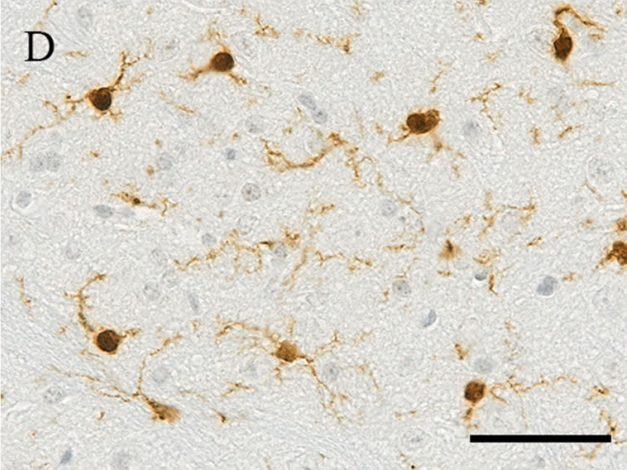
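The processes are fine and long, tapering into delicate fibres that spread into the surrounding tissue. The cells are spaced apart from one another, each occupying its own territory. Between them lie unstained cells with pale blue nuclei.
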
